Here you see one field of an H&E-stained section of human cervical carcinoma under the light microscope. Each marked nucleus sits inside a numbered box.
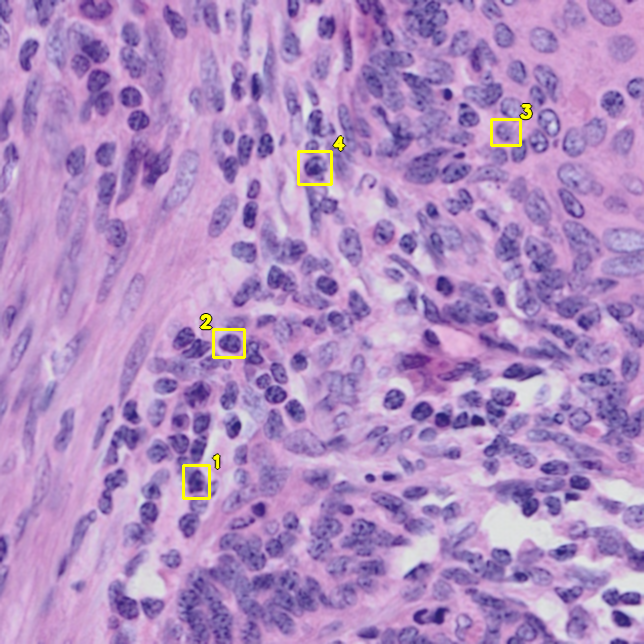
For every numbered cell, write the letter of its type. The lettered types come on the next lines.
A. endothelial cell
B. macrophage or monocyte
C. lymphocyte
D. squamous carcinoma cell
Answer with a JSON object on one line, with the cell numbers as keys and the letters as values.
{"1": "C", "2": "C", "3": "D", "4": "C"}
